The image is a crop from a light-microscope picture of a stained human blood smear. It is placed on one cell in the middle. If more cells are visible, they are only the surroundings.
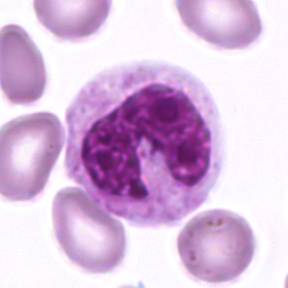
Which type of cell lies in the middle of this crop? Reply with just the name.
band neutrophil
